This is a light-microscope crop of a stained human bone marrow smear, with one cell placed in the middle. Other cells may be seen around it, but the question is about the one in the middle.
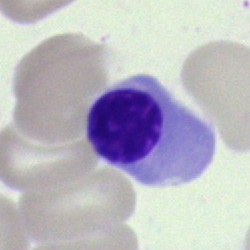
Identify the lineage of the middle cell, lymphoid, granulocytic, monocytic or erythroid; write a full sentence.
The cell at the center is a representative of the erythroid lineage.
